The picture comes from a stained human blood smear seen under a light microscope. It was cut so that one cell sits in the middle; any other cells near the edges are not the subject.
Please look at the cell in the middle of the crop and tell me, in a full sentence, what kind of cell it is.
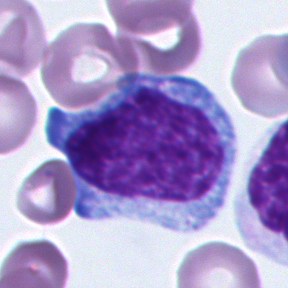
The cell under consideration, at the middle of the crop, is a promyelocyte.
